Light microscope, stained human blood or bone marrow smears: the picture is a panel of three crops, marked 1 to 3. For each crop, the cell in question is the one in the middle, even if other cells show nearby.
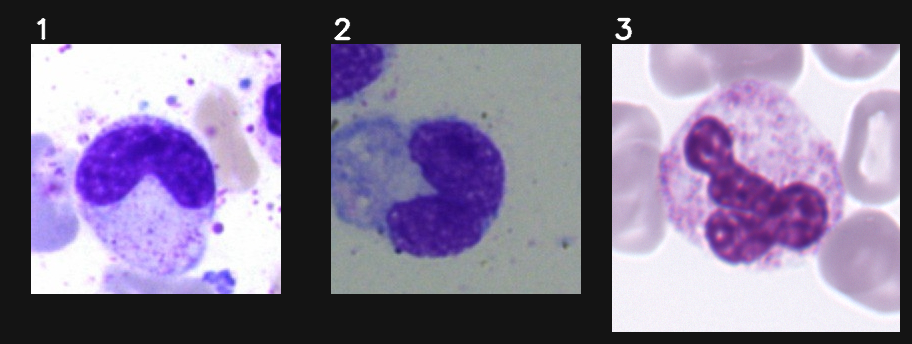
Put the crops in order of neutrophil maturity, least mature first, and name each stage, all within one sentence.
In rising order of maturity, the crops are crop 2 (a metamyelocyte), crop 1 (a band neutrophil) and crop 3 (a segmented neutrophil).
